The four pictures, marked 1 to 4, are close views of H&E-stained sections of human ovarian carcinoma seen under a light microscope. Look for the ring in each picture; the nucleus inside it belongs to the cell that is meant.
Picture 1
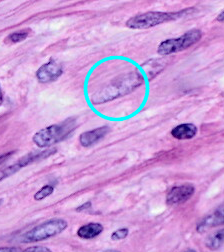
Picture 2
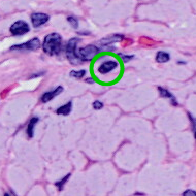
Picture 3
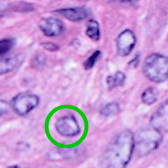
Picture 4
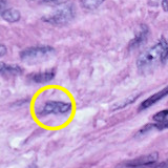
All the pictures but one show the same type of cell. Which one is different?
2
